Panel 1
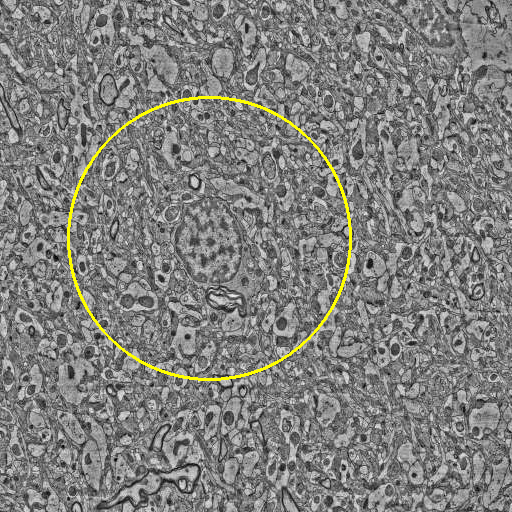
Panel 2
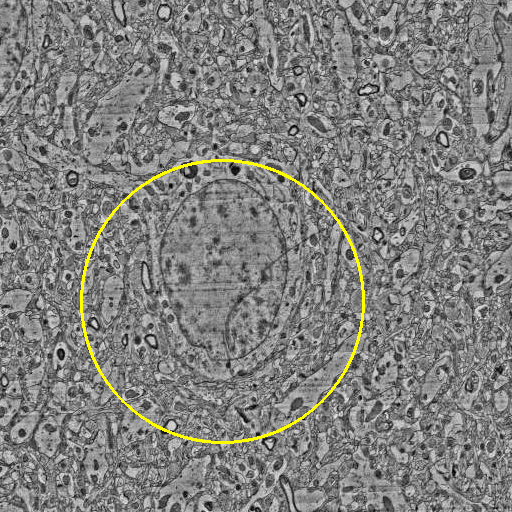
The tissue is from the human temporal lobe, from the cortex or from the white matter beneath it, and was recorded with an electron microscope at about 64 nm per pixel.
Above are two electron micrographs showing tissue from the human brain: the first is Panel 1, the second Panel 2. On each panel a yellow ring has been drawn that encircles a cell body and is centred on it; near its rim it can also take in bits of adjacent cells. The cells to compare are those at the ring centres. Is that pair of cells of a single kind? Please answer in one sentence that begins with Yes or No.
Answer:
No, the ring-centred cells of Panel 1 and Panel 2 belong to two kinds.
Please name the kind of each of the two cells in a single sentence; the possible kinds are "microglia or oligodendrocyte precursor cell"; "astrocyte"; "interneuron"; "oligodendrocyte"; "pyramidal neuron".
In the first picture the ring is centred on an oligodendrocyte, and in the second on a pyramidal neuron.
